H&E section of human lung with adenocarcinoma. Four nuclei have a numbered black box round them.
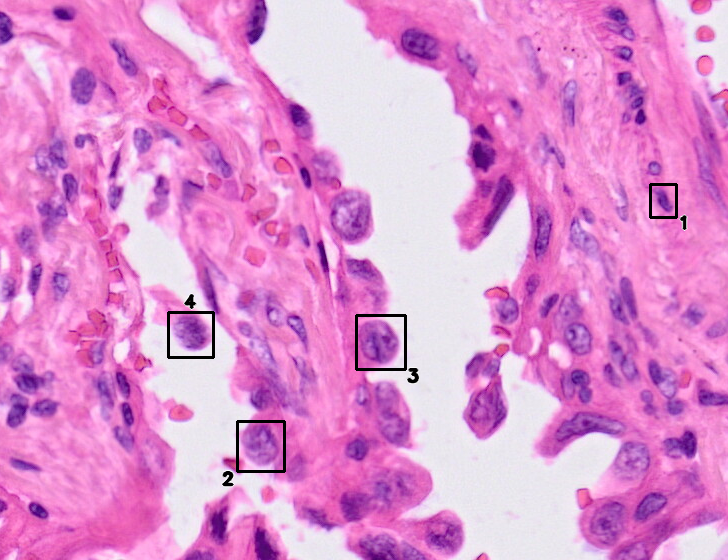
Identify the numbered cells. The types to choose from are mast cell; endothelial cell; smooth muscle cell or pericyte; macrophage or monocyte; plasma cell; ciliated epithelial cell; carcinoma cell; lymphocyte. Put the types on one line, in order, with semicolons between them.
smooth muscle cell or pericyte; carcinoma cell; carcinoma cell; carcinoma cell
